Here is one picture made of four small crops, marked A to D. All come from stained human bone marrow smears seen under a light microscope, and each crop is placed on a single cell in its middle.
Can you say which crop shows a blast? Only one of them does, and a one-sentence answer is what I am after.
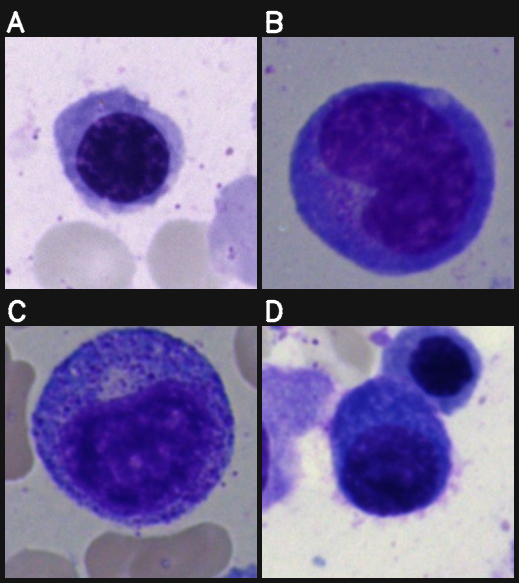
Crop B, of the crops presented, is the one showing a blast.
